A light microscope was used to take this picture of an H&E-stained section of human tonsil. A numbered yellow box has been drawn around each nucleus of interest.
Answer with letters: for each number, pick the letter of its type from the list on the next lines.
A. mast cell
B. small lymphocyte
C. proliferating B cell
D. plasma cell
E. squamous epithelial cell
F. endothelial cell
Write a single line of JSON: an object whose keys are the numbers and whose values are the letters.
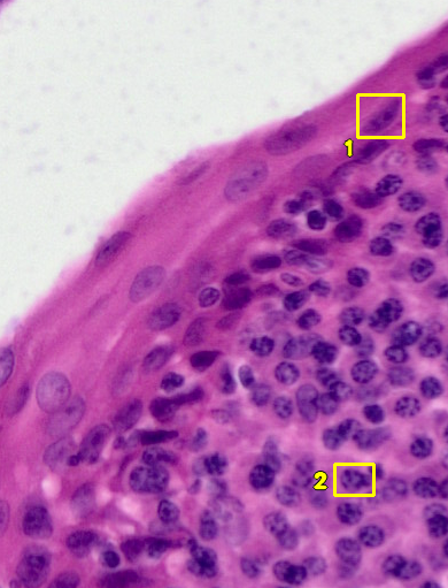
{"1": "E", "2": "D"}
